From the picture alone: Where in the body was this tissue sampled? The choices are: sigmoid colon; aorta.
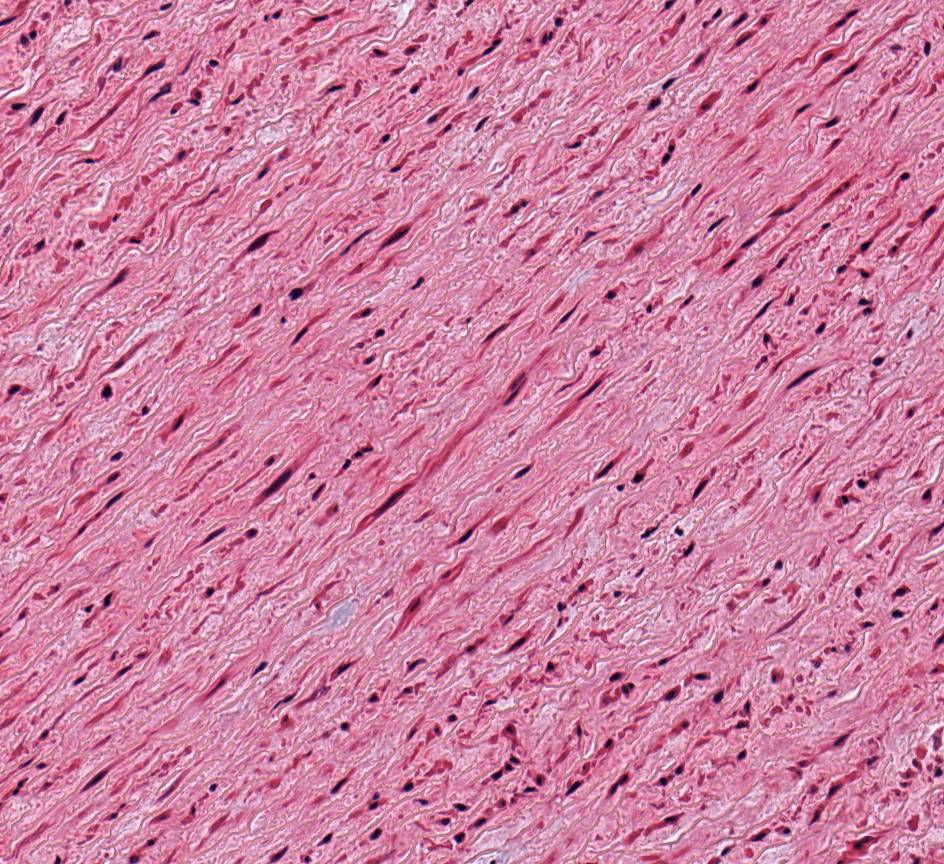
aorta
